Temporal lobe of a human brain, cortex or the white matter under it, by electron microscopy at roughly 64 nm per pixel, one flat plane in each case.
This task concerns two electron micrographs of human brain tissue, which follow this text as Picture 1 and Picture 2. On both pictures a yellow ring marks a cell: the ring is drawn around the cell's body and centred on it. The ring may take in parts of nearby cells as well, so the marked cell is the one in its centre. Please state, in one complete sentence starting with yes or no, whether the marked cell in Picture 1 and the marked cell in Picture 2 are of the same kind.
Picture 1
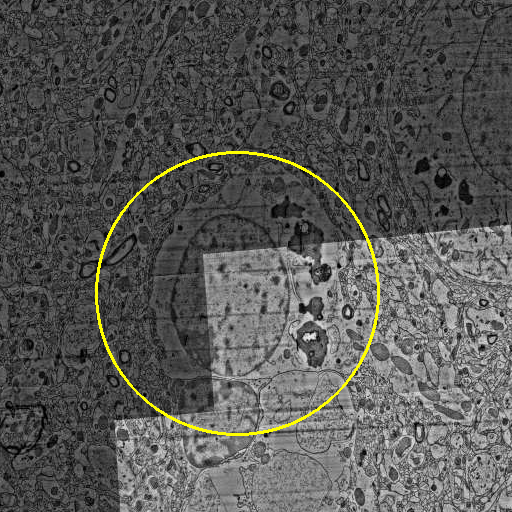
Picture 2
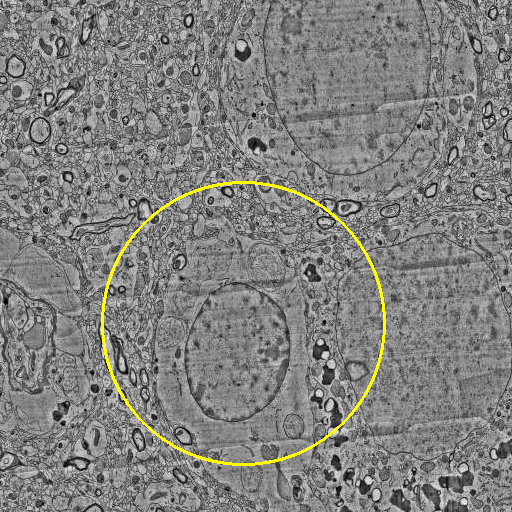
Yes, the marked cells in both pictures are of the same kind.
